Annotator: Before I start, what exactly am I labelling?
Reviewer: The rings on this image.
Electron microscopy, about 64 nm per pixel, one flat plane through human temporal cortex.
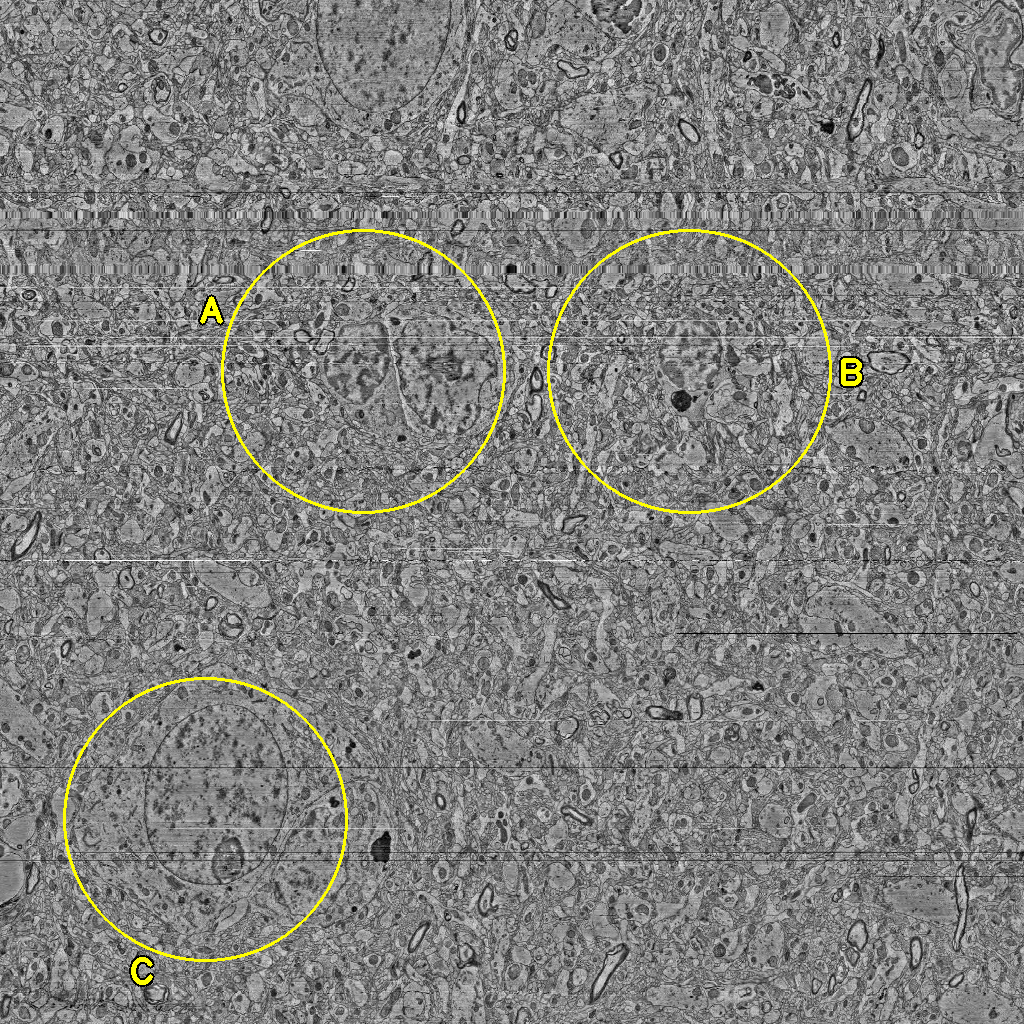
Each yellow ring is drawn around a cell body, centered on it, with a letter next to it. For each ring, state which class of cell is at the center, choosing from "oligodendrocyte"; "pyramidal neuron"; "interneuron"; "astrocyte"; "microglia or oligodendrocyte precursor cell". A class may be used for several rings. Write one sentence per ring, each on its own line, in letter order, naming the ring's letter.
At the center of ring A we have an oligodendrocyte.
At the center of ring B we have an oligodendrocyte.
At the center of ring C we have a pyramidal neuron.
